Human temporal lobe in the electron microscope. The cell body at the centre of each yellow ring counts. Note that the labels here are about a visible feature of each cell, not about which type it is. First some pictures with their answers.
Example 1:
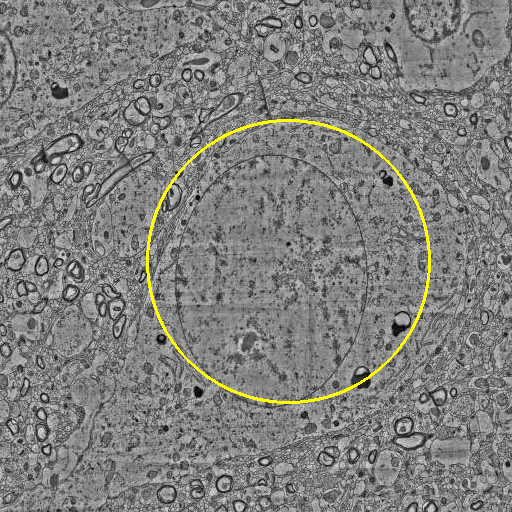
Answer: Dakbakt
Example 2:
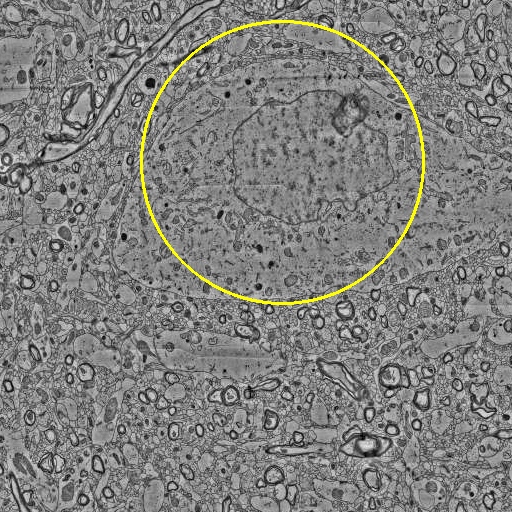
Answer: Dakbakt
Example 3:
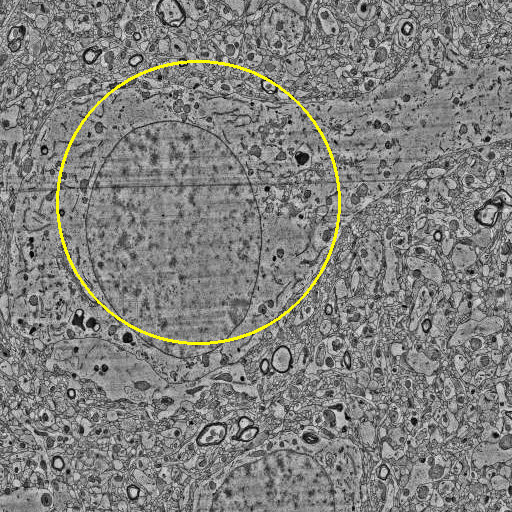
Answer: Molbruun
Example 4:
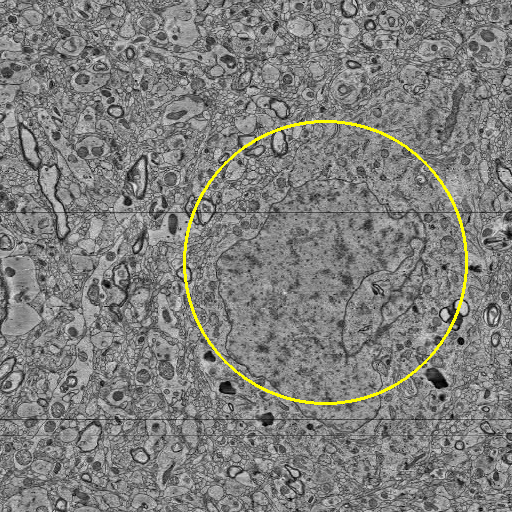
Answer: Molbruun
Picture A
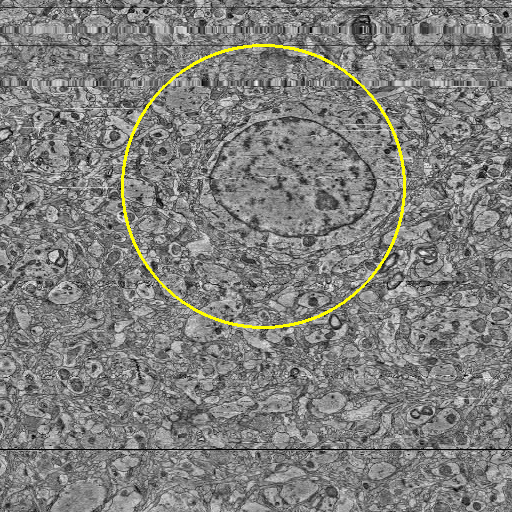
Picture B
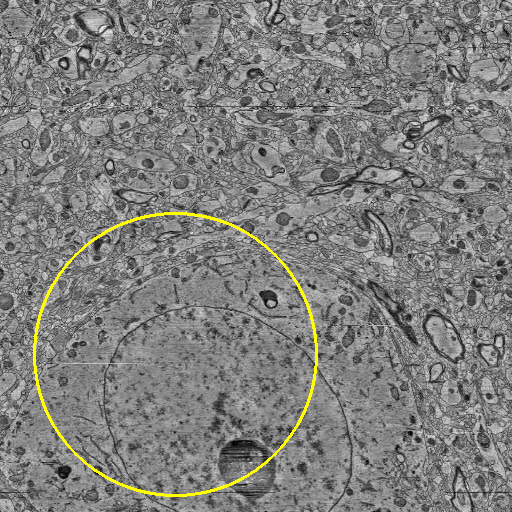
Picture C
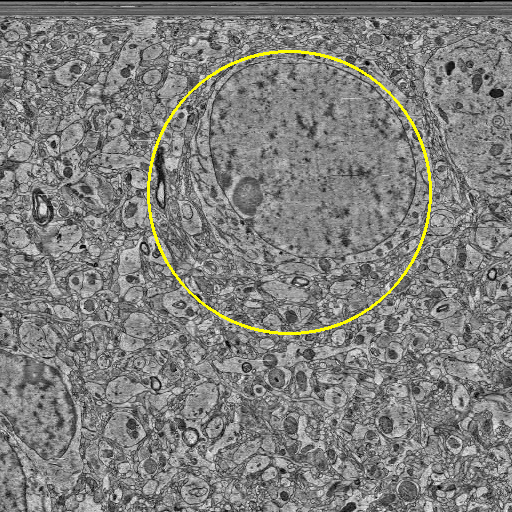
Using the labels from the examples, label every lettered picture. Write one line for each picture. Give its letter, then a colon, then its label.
A: Dakbakt
B: Dakbakt
C: Dakbakt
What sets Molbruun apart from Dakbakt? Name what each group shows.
Molbruun: no nucleolus seen; Dakbakt: nucleolus seen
